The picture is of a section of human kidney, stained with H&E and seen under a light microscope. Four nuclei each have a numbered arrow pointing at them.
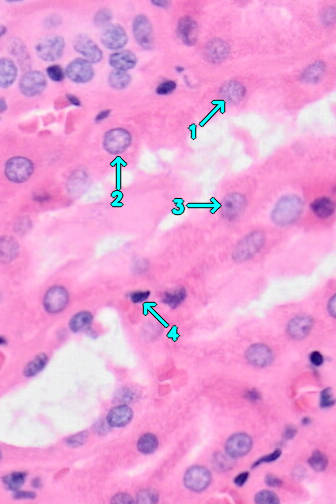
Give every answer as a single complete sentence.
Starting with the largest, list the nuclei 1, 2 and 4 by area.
Going from the biggest nucleus down to the smallest gives 2, 1, 4.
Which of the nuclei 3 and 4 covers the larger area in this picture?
Nucleus 3 is larger, with an area about 2 times that of nucleus 4.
